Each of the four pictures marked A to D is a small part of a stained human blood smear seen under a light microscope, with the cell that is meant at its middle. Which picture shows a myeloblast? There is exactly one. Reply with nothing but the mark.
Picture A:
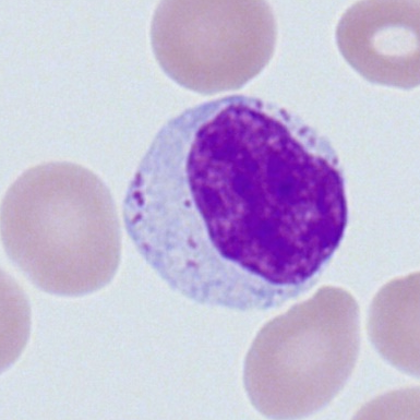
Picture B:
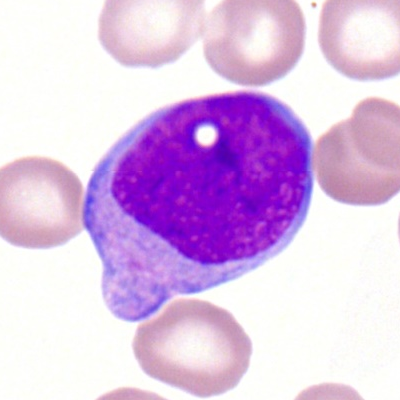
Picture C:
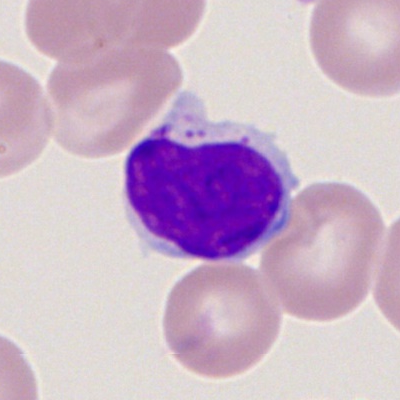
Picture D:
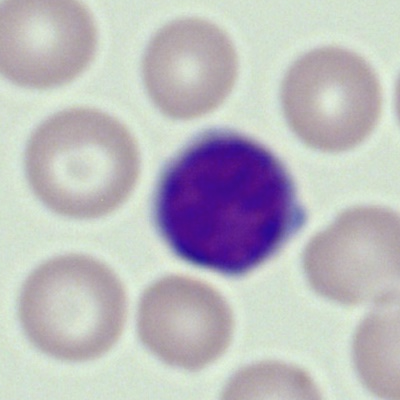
B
